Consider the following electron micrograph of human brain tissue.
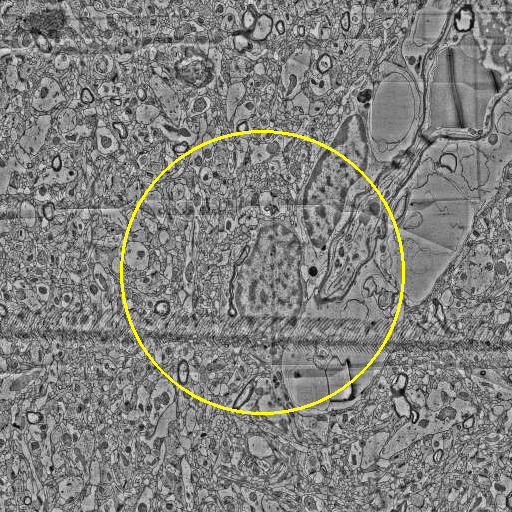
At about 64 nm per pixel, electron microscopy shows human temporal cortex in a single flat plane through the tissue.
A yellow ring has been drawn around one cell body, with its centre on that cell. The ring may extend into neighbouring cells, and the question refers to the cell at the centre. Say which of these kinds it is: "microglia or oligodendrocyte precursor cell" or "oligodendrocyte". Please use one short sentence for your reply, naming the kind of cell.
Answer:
The centre of the ring falls on an oligodendrocyte.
